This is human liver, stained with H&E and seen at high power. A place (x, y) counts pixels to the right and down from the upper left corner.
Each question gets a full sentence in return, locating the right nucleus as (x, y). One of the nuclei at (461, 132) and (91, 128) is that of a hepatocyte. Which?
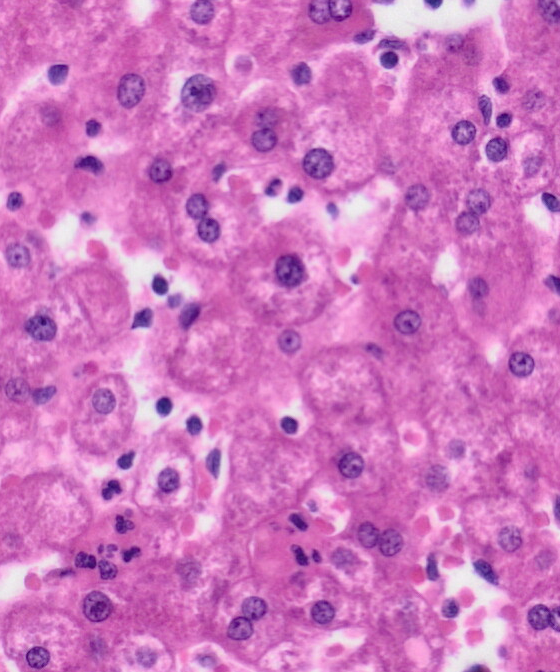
It is at (461, 132) that the nucleus of a hepatocyte is found.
